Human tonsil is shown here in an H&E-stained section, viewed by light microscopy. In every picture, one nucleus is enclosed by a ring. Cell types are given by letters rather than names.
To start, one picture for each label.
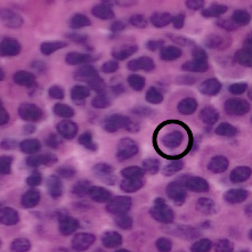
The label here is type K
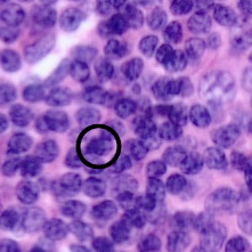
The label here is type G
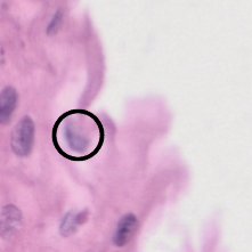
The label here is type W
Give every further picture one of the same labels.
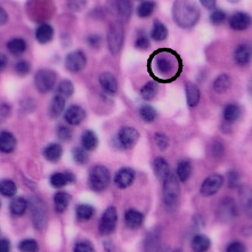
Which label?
type K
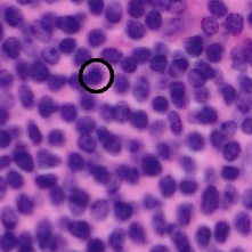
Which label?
type G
